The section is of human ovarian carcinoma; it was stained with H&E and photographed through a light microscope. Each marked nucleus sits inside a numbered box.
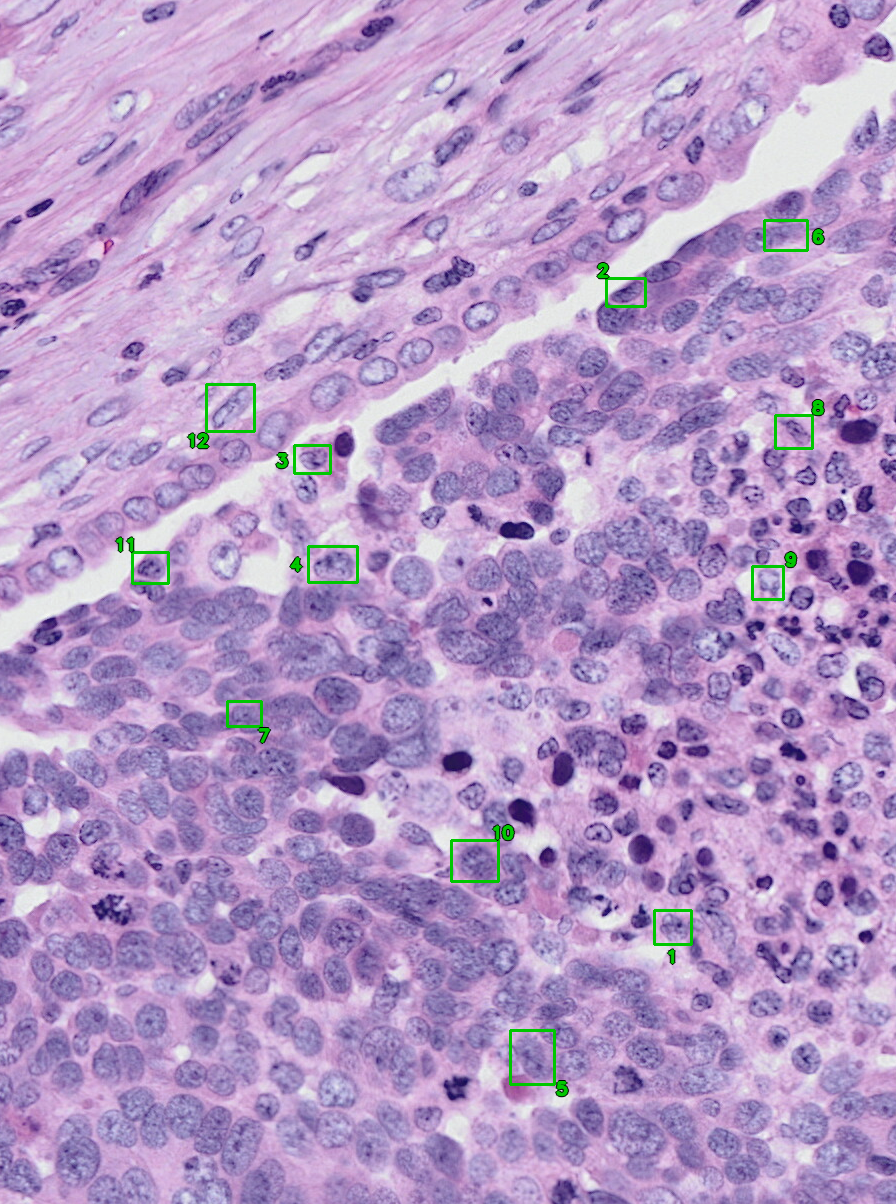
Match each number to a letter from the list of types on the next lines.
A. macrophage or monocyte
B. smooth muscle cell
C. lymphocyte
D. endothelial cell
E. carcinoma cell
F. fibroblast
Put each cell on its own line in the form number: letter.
1: A
2: E
3: A
4: A
5: E
6: E
7: E
8: A
9: A
10: E
11: A
12: F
